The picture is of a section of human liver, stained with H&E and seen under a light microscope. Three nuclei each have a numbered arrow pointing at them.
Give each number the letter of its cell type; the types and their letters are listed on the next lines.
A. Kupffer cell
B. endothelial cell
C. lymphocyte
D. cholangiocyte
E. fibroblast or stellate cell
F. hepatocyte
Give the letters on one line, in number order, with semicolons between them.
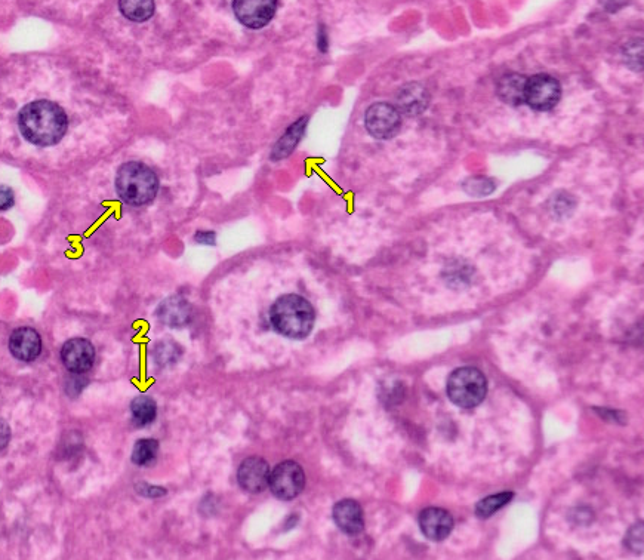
A; E; F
